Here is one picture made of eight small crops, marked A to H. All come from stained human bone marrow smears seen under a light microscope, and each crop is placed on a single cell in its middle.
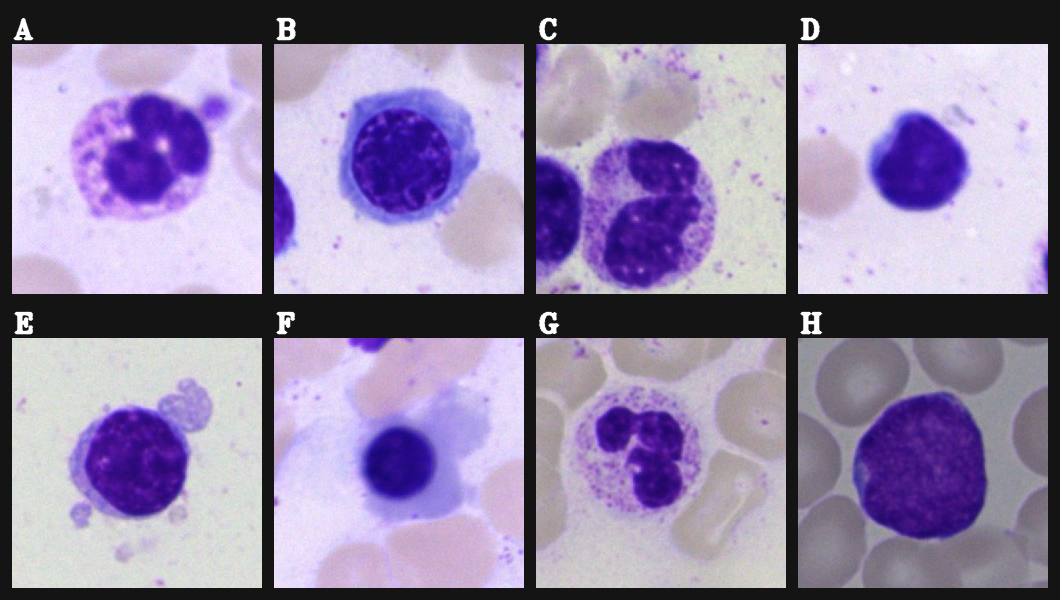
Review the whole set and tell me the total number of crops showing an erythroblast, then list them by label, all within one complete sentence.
Crops showing erythroblasts: two in all, namely B and F.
